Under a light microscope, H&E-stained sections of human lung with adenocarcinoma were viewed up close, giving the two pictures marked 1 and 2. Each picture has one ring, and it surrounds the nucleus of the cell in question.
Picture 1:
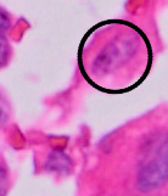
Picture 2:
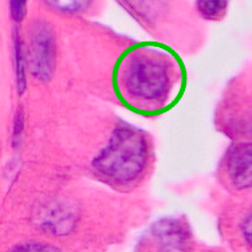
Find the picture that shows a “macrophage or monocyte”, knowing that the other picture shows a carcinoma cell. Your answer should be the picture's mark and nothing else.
1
